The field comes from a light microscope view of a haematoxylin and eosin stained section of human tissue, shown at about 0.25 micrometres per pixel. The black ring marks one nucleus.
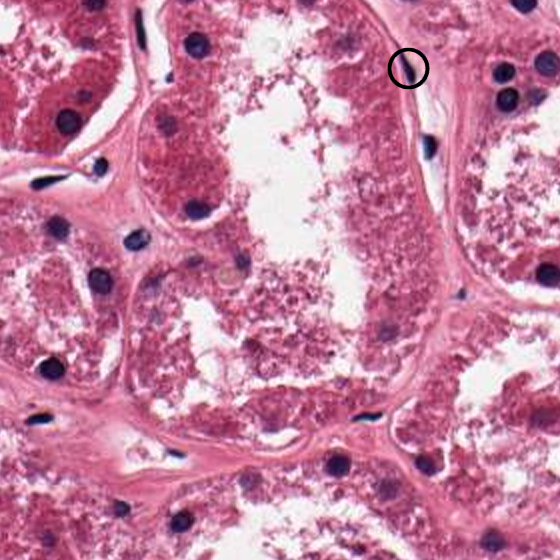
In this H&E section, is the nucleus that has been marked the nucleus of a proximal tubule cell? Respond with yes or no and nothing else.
no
